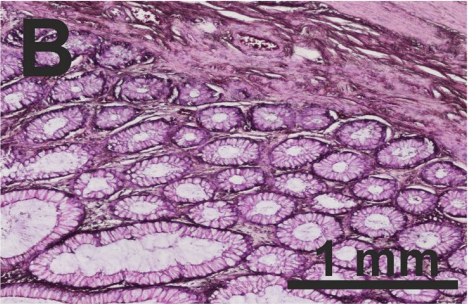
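This section of tumor-free colon shows healthy crypts cut in cross-section, packed side by side in the mucosa. Each crypt is a round ring of tall columnar epithelial cells whose pale, mucus-filled cytoplasm faces a small central lumen, with the dark nuclei pushed to the outer edge of the ring. Thin purple strands of stroma separate the neighbouring crypts. Some crypts near the bottom are cut obliquely and appear as elongated pale ovals. Along the top edge a band of compact, streaming pink fibres forms a thin muscular layer bordering the connective tissue beyond.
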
